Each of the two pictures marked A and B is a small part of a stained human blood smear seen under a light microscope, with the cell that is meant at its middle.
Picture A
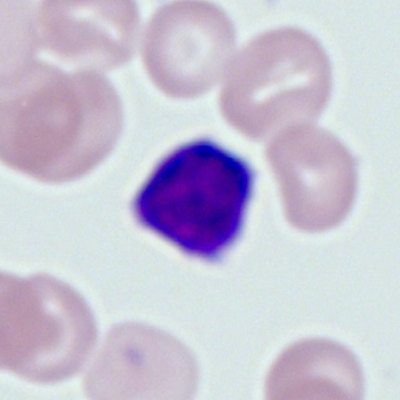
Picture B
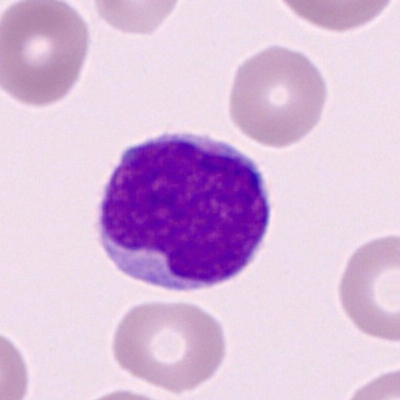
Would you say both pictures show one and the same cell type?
no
